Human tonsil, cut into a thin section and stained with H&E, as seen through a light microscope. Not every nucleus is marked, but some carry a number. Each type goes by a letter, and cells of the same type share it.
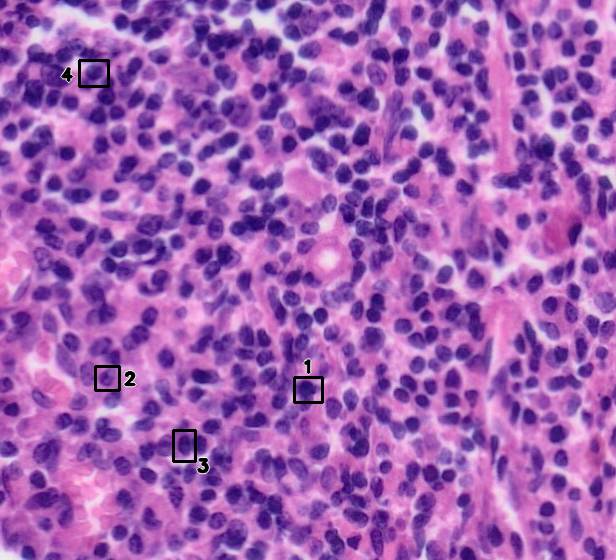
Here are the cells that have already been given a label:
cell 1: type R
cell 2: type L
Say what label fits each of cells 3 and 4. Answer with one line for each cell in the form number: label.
3: type L
4: type R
